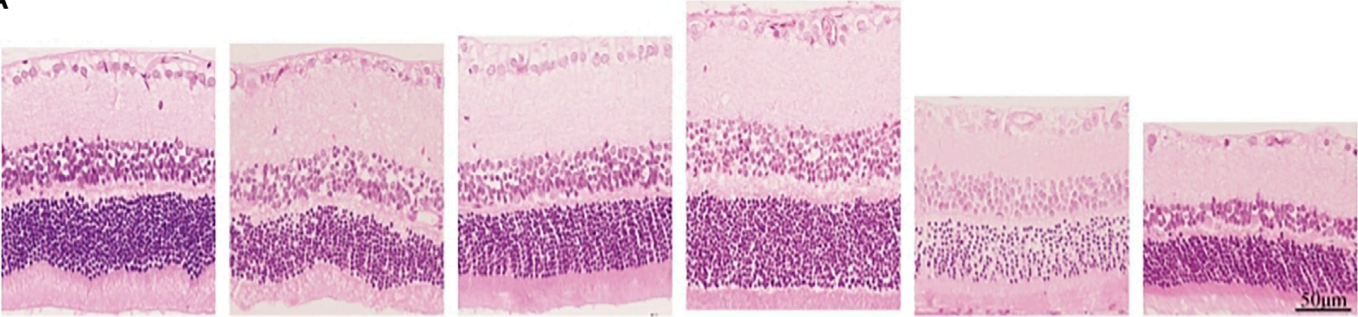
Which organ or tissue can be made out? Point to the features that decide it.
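Each section shows stacked horizontal layers of nuclei alternating with pale pink fibrous bands. There is a densely packed, dark purple nuclear layer toward the bottom. A single row of sparse, larger nuclei lies along the top edge. So: retina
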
